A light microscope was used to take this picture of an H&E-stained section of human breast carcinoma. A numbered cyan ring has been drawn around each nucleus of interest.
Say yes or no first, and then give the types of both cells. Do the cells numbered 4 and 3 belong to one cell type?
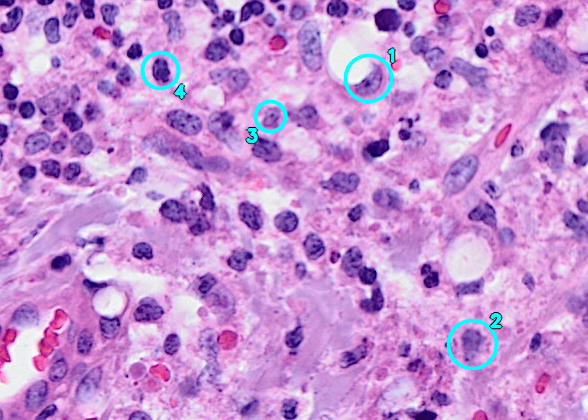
No, the identities are a lymphocyte for cell 4 and a macrophage, monocyte or dendritic cell for cell 3.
